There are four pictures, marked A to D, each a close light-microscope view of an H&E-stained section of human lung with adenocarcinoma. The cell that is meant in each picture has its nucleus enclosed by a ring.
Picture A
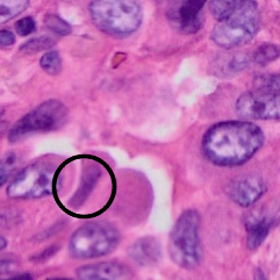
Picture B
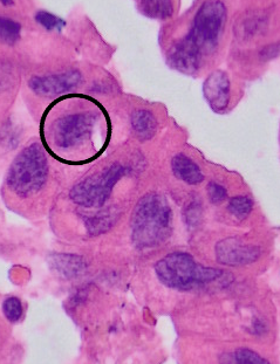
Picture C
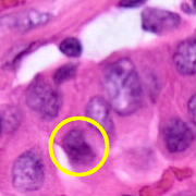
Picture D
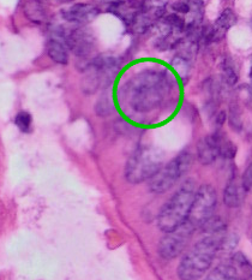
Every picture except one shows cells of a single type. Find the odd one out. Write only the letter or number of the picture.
D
